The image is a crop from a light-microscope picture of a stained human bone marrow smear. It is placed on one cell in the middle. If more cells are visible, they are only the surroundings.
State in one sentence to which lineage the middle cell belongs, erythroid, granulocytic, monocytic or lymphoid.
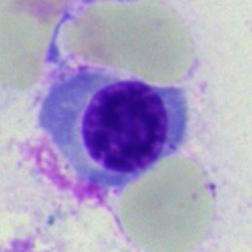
Within the erythroid lineage lies the cell at the center of the crop.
